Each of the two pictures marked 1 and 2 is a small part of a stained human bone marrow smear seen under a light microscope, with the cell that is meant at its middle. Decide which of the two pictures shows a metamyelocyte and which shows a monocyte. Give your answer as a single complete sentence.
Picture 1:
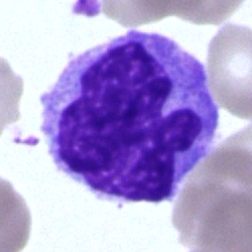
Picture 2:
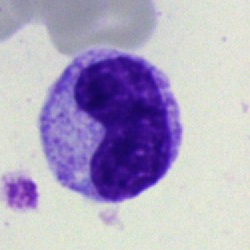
It is picture 1 that shows a monocyte, and picture 2 that shows a metamyelocyte.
